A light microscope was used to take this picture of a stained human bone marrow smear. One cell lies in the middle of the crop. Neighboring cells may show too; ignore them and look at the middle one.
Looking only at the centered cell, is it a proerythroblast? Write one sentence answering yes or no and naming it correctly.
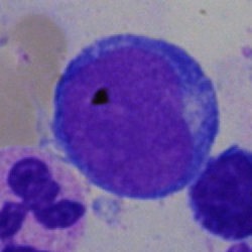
Yes, the cell occupying the middle of the crop is a proerythroblast.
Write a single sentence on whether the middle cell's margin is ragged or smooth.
You can see a smooth boundary, with no projections sticking out.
